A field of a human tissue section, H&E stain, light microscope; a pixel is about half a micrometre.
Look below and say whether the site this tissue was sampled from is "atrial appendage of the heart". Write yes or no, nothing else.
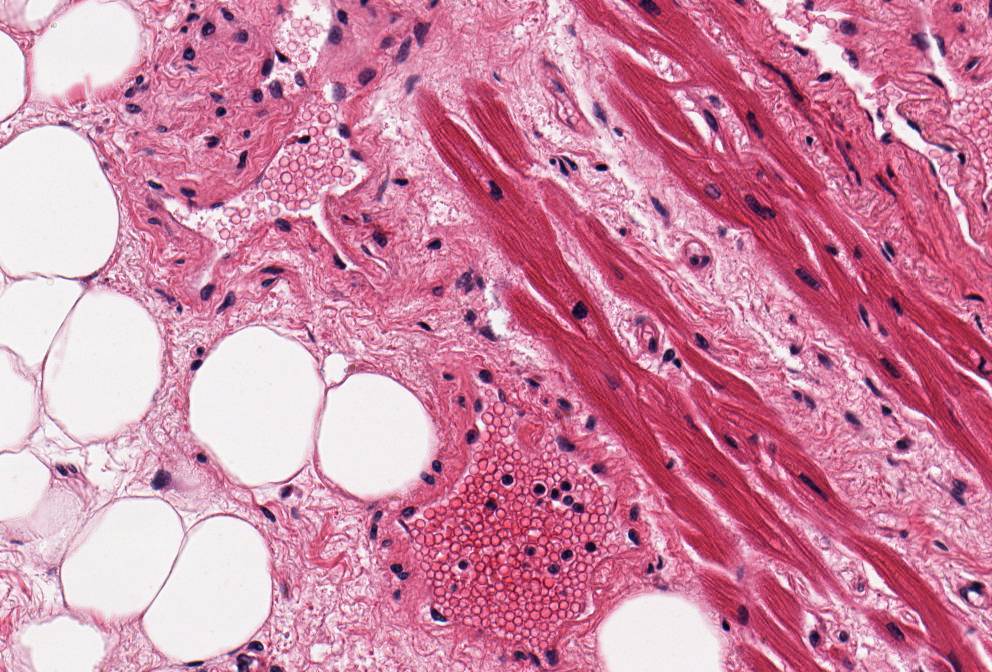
yes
